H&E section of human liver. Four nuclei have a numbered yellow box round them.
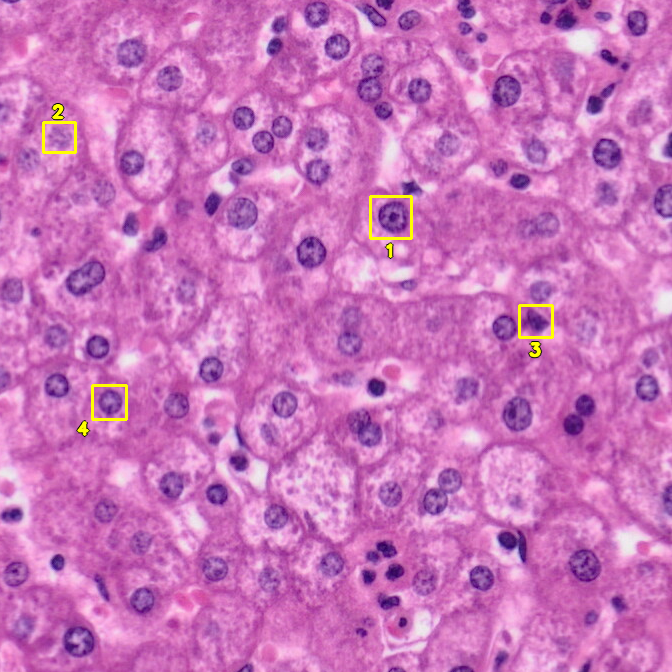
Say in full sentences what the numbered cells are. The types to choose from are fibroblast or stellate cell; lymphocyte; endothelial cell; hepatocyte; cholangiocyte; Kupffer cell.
Cell 1 is a hepatocyte, cell 2 is a hepatocyte, cell 3 is an endothelial cell and cell 4 is a hepatocyte.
